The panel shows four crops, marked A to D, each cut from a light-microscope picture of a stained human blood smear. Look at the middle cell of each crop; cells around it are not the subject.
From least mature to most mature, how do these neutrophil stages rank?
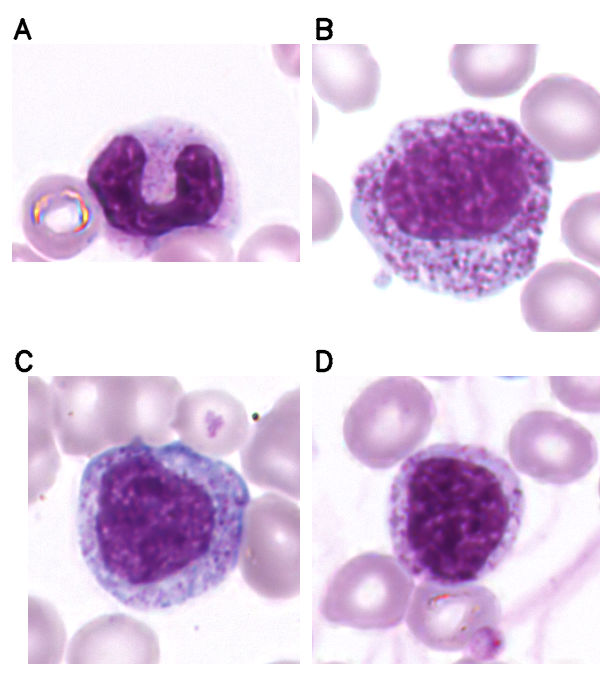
C, B, D, A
